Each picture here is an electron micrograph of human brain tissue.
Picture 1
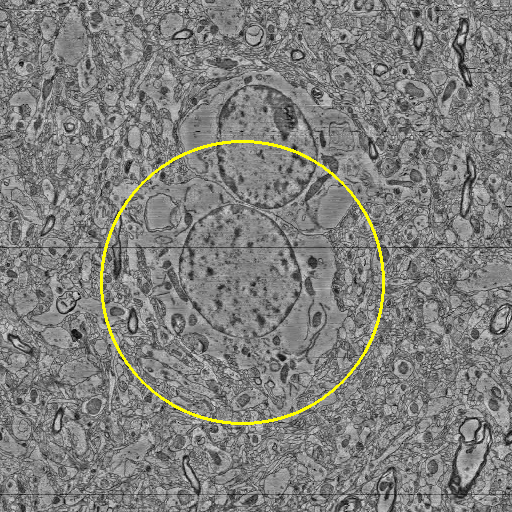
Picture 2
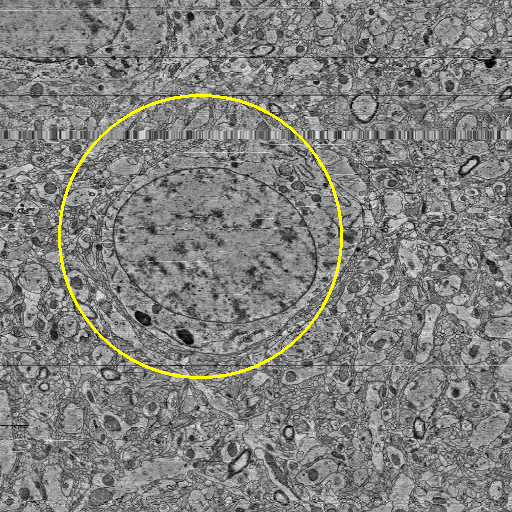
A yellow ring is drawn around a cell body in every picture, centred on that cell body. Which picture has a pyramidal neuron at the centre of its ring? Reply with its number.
2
